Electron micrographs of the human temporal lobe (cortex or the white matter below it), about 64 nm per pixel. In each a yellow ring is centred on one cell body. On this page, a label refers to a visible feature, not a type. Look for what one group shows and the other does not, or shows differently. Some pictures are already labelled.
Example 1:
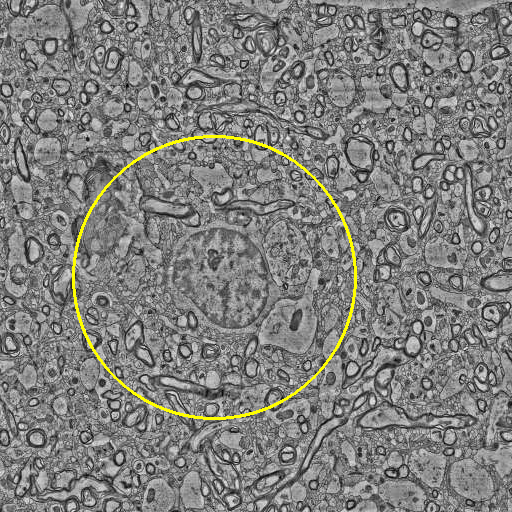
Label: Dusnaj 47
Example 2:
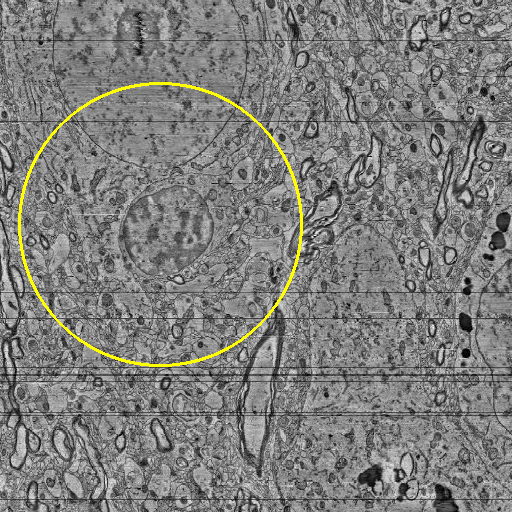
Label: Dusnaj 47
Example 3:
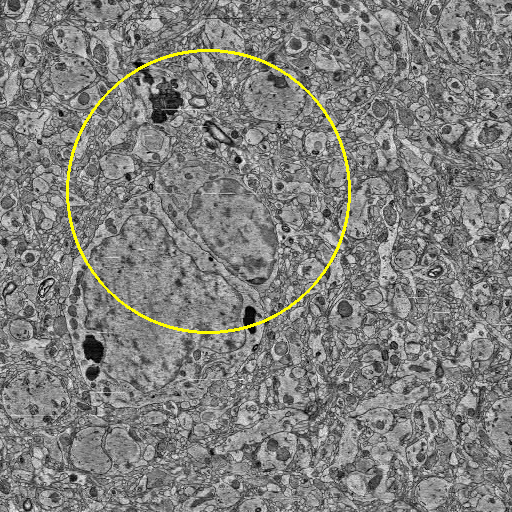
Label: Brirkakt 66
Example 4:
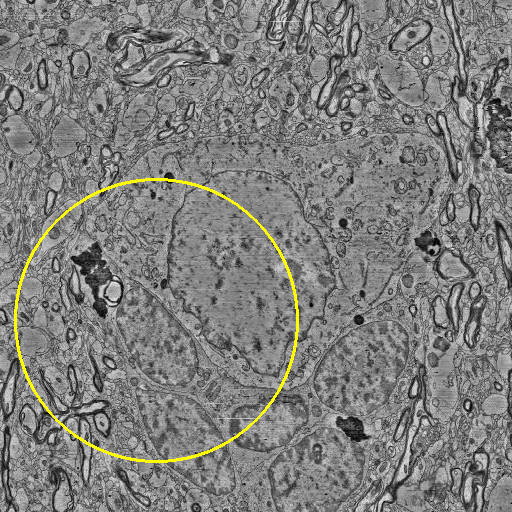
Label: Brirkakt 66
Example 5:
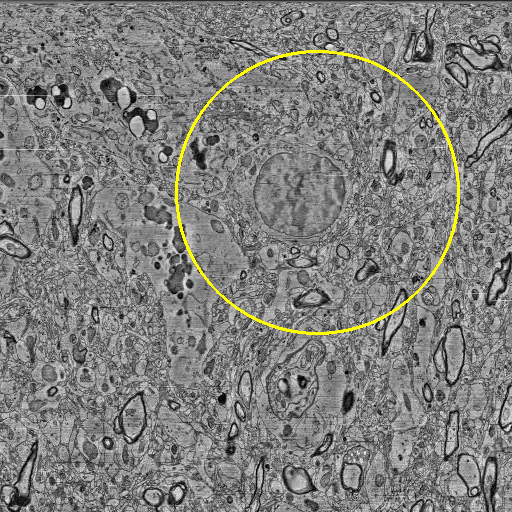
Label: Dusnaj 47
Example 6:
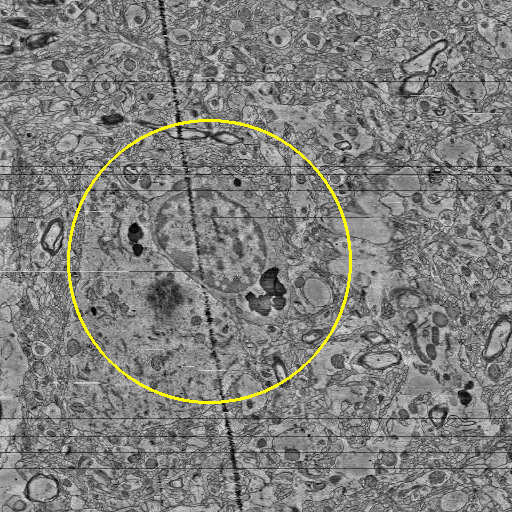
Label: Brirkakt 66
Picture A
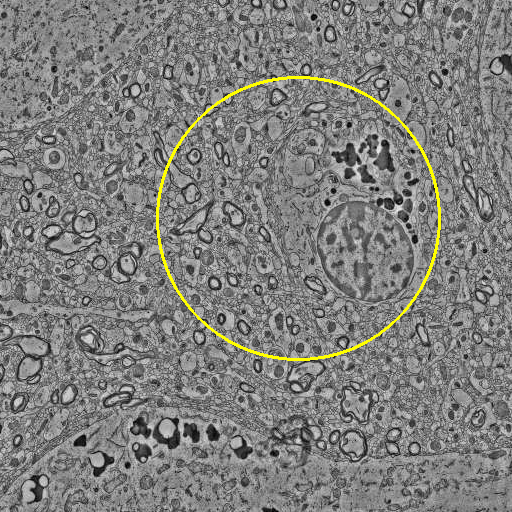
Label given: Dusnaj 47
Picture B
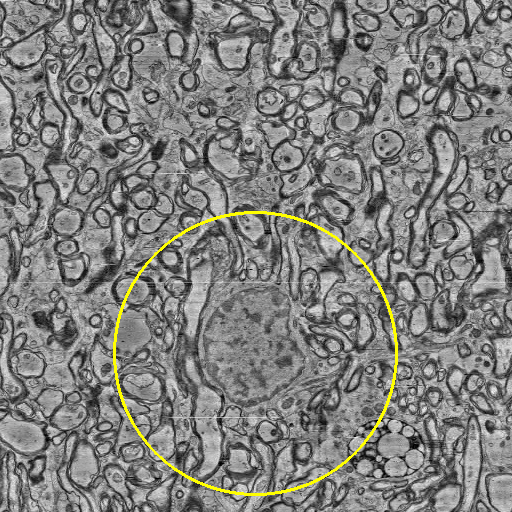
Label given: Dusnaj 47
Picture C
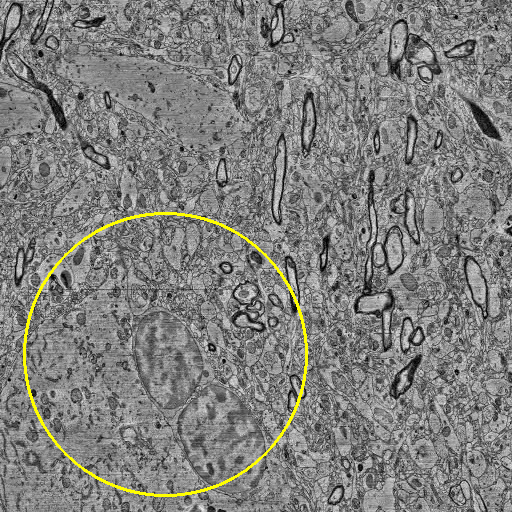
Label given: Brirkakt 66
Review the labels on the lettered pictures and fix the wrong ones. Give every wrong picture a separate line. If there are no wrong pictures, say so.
Nothing to fix; every label fits.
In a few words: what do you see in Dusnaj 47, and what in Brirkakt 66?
Dusnaj 47, round or nearly round nuclei; Brirkakt 66, clearly elongated nuclei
